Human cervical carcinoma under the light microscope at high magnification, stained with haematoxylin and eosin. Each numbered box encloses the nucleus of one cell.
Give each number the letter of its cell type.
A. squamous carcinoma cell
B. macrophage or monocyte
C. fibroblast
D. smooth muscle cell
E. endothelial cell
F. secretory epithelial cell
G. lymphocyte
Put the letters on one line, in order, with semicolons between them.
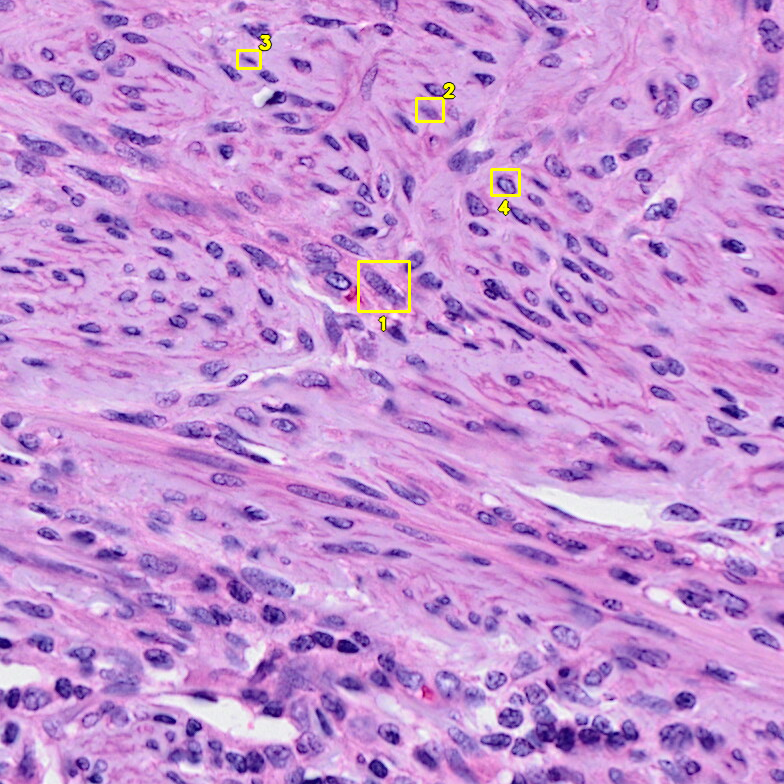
E; D; C; D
